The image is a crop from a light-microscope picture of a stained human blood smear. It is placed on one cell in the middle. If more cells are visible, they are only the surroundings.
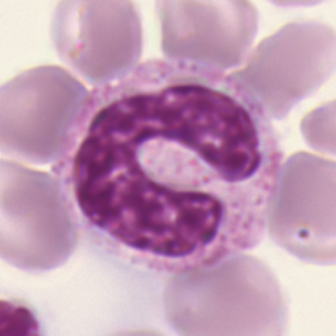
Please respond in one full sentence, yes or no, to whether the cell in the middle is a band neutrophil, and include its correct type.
Yes, the cell at the centre of this crop is identified as a band neutrophil.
